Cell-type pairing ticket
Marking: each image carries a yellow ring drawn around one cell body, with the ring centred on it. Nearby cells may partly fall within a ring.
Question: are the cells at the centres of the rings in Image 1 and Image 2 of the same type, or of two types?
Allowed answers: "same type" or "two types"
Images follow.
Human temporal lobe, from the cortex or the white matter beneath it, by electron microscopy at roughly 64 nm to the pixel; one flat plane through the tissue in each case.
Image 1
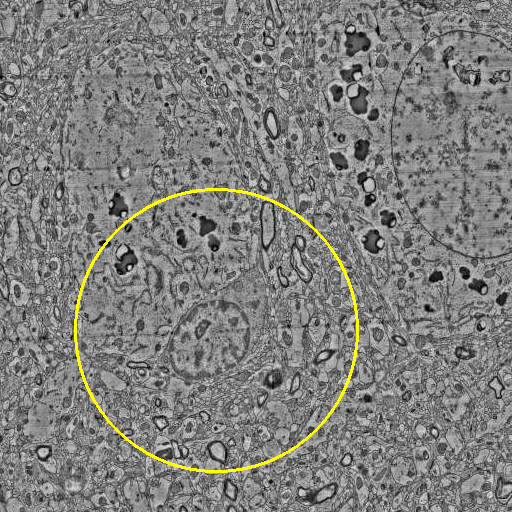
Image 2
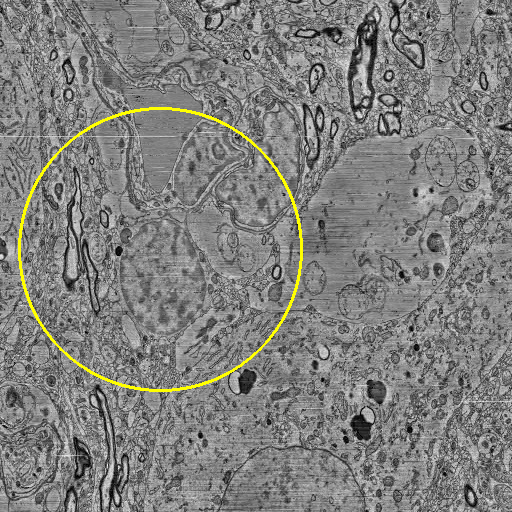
same type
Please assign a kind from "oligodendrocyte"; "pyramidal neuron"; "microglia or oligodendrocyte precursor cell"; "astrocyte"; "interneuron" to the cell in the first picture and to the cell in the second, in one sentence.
Each of the ringed cells, first and second, is an oligodendrocyte.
